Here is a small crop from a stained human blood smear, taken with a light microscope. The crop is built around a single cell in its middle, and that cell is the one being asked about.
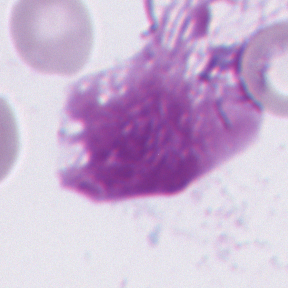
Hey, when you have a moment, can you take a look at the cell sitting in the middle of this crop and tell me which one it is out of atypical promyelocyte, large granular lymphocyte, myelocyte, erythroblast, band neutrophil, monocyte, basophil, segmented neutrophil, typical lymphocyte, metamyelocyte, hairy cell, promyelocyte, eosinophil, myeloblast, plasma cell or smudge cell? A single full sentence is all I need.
In the central position of this crop, the cell is a smudge cell.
